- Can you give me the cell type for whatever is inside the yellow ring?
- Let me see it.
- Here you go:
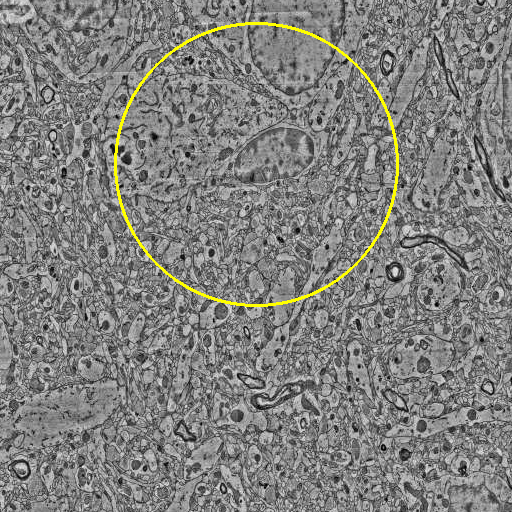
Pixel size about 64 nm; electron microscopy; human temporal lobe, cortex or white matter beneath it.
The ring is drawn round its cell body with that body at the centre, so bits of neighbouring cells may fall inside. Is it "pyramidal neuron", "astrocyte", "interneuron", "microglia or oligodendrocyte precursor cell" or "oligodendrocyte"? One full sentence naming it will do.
The cell body in the middle of the ring in this picture belongs to a microglial cell or oligodendrocyte precursor cell.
